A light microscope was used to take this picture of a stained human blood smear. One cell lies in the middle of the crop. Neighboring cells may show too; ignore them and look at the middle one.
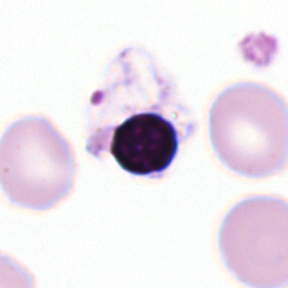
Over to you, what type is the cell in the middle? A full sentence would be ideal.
At the crop's centre, the cell is a normoblast.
